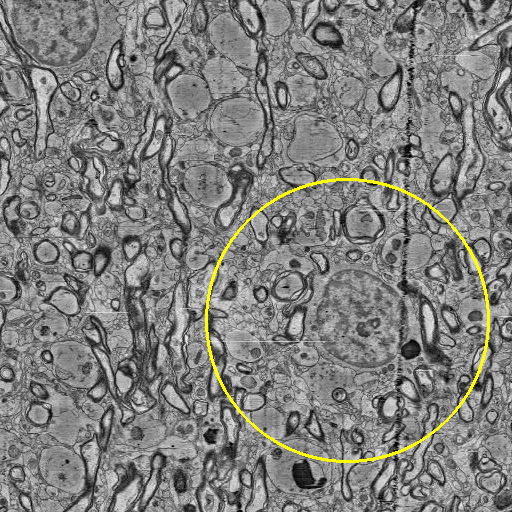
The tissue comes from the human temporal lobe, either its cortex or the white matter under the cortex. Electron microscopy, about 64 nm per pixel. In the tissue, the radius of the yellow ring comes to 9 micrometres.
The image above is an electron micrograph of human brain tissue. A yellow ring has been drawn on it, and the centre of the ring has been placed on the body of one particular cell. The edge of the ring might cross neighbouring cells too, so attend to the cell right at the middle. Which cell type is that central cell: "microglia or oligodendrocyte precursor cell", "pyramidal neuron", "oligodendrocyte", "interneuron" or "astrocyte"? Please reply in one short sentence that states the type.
The central cell in the ring is an oligodendrocyte.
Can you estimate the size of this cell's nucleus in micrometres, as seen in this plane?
About 7 by 6 micrometres in this plane.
